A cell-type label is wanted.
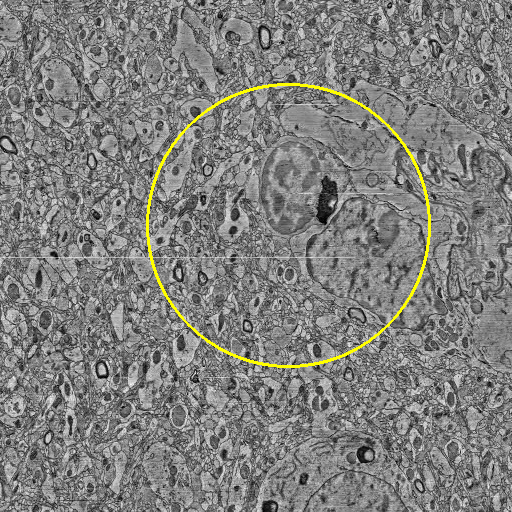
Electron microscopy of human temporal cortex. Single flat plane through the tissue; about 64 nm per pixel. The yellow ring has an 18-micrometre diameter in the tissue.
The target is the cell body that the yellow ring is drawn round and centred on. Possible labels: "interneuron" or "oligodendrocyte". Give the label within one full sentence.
Of the labels offered, the cell in the middle of the yellow ring is an oligodendrocyte.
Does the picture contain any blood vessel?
Yes, the image shows a blood vessel.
